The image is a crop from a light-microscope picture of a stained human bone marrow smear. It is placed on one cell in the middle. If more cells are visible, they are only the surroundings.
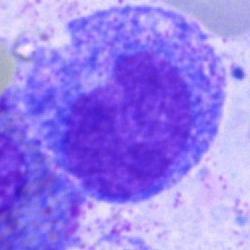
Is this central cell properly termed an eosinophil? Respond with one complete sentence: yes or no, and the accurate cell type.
No, the cell in the middle is categorised as a promyelocyte, not an eosinophil.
